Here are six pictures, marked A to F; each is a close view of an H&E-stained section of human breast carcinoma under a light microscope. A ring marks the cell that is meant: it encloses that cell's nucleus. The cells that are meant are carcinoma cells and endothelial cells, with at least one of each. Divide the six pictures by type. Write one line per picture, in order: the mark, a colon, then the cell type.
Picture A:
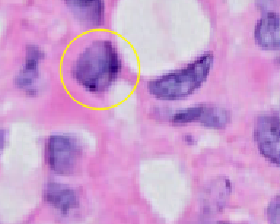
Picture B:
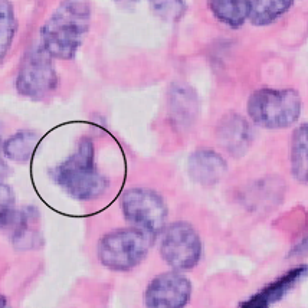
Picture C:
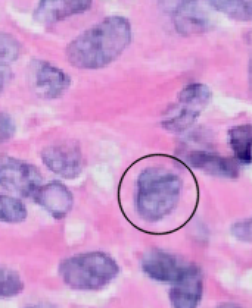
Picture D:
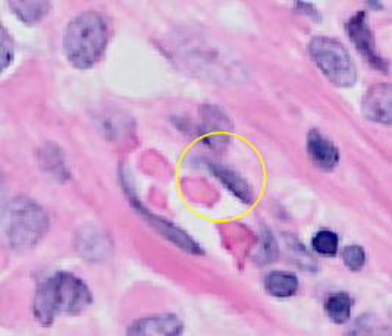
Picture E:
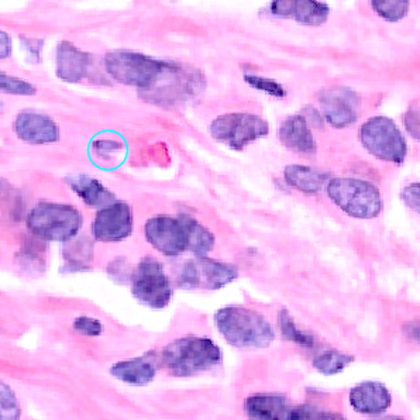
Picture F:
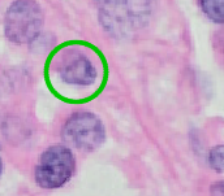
A: carcinoma cell
B: carcinoma cell
C: carcinoma cell
D: endothelial cell
E: endothelial cell
F: carcinoma cell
